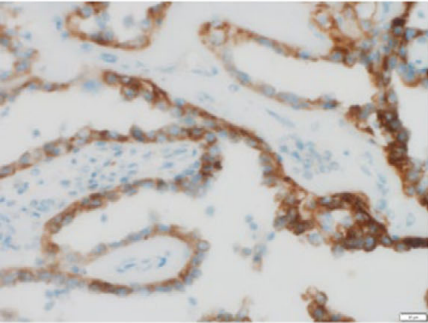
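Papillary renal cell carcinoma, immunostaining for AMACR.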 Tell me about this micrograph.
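Branching fronds are covered by a single to few layers of tumour cells with round bluish nuclei, while the centres of the fronds are pale, loose cores with scattered spindle-shaped nuclei. The covering cells show strong brown staining of their cytoplasm and borders, and the cores stay unstained. Clear spaces separate the fronds from one another.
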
